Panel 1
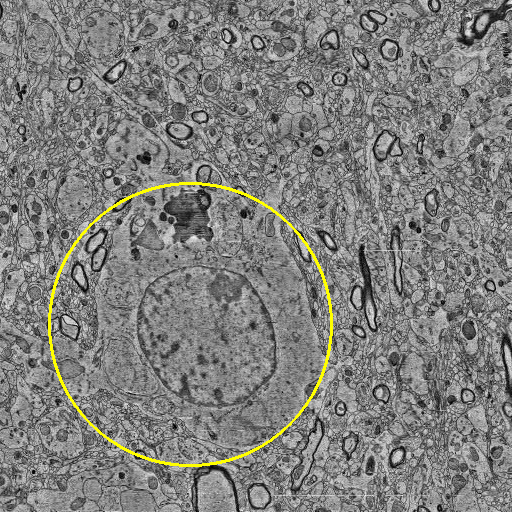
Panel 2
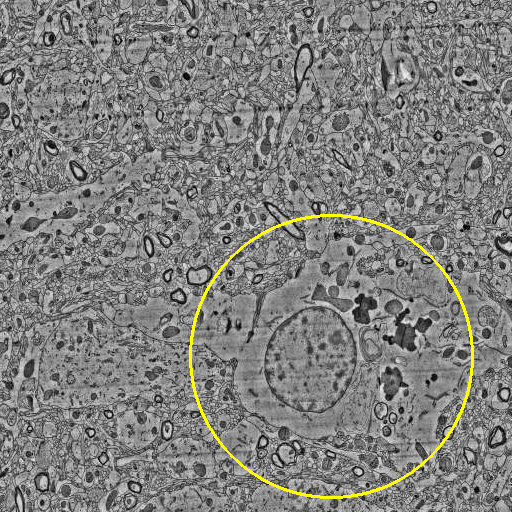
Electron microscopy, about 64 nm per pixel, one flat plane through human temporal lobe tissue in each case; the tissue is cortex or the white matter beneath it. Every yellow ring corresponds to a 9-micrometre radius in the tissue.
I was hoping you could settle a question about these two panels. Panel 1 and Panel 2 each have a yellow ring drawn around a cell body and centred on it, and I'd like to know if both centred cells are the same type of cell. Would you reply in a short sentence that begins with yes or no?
Yes, both are the same type of cell.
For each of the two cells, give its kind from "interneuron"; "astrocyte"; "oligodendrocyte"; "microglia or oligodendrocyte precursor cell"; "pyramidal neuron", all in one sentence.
Both pictures show an astrocyte at the centre of the ring.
